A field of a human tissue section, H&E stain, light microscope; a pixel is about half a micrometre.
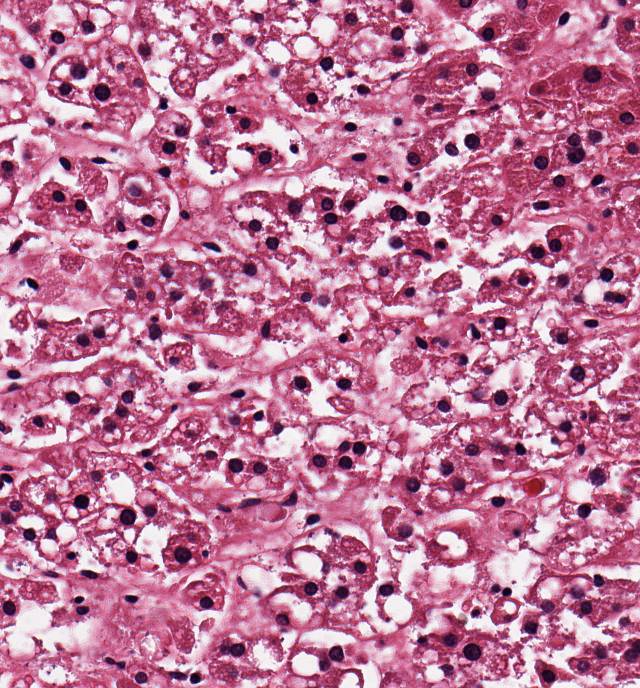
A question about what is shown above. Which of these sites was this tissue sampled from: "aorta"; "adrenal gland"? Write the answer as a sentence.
The site this tissue was sampled from is the adrenal gland.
